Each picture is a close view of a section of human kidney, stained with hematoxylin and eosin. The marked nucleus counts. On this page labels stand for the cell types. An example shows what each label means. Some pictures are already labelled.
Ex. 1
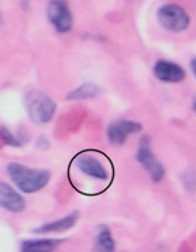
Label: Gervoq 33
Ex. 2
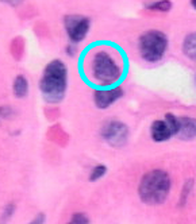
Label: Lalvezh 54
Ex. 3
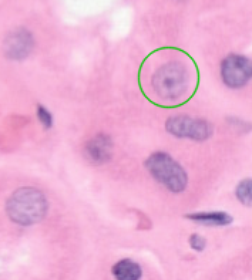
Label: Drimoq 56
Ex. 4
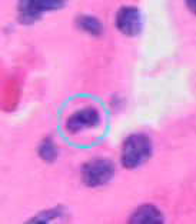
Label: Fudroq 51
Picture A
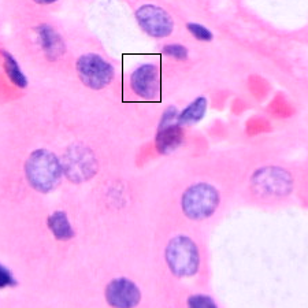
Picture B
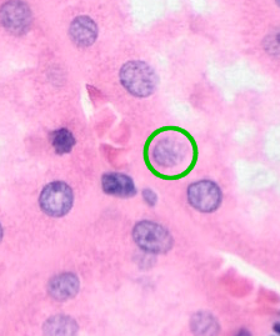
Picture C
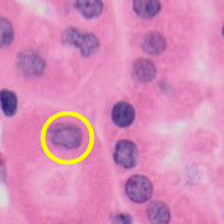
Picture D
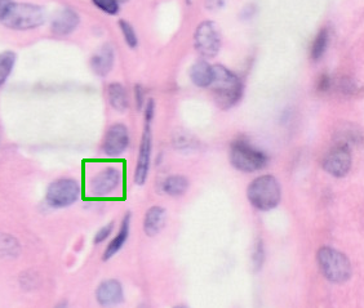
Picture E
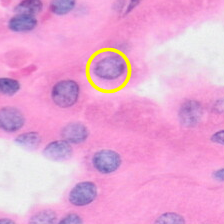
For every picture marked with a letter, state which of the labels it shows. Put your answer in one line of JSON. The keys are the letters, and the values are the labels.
{"A": "Fudroq 51", "B": "Drimoq 56", "C": "Drimoq 56", "D": "Lalvezh 54", "E": "Drimoq 56"}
